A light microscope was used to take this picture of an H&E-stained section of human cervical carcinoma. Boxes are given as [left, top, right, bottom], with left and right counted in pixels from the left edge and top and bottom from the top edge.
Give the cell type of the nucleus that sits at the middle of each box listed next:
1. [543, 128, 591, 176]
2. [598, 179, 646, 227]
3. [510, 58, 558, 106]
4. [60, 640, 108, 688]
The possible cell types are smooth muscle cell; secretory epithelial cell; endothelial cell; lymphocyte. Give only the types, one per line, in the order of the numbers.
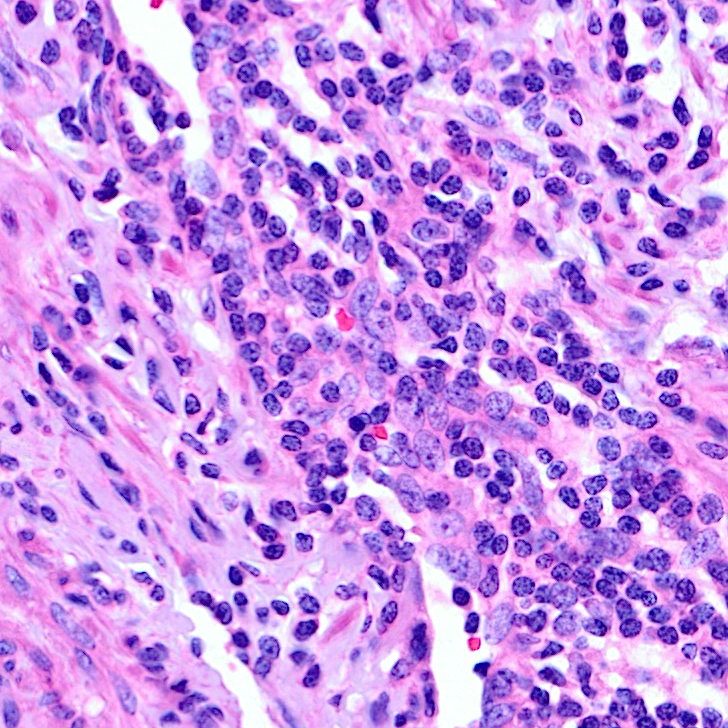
lymphocyte
lymphocyte
lymphocyte
smooth muscle cell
